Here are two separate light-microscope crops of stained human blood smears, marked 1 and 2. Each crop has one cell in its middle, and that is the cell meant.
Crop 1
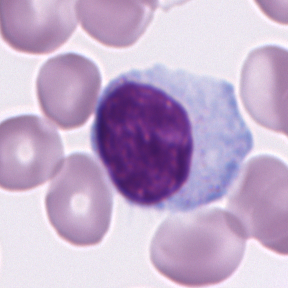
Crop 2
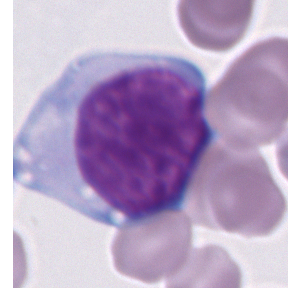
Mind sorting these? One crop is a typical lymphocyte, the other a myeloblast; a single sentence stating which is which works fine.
Crop 2 shows a myeloblast, and crop 1 shows a typical lymphocyte.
